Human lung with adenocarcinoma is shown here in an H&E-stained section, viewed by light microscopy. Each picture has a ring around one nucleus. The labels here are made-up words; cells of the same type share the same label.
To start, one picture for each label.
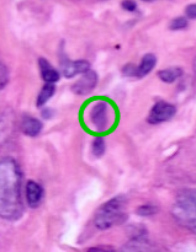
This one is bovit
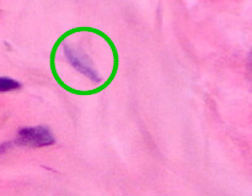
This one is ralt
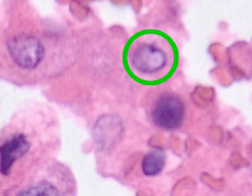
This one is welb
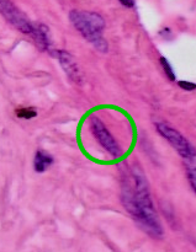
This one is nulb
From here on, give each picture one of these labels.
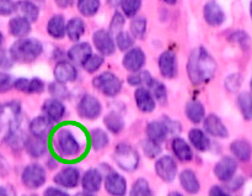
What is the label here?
bovit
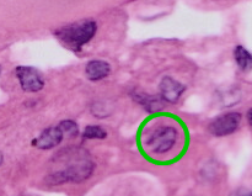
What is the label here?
welb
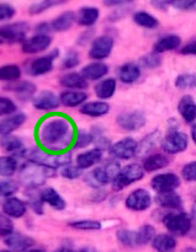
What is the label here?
bovit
